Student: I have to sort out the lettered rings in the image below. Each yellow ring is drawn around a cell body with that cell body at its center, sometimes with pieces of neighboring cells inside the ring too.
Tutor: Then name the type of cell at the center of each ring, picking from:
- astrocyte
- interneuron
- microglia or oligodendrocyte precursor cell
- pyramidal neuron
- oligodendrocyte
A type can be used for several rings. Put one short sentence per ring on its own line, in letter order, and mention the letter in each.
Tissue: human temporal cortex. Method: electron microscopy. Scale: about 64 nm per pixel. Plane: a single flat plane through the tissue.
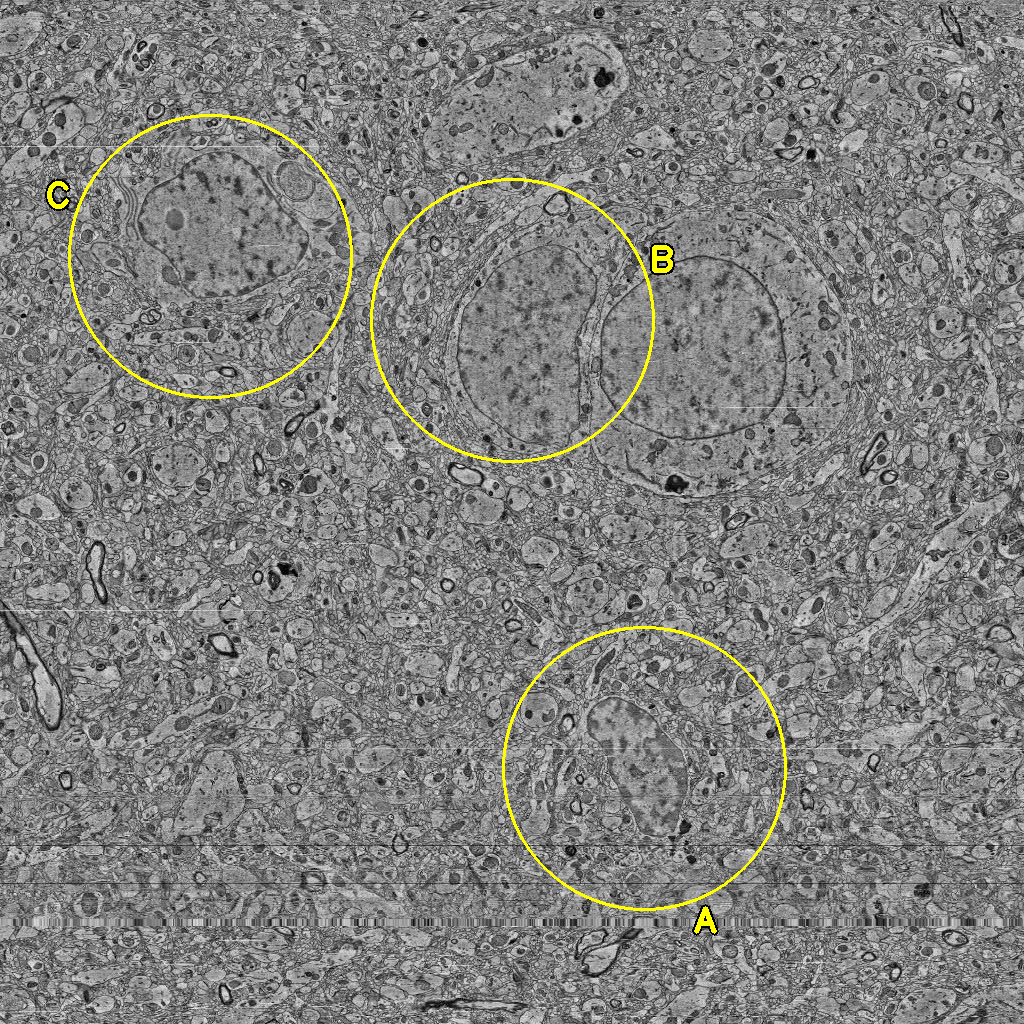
Inside ring A, at its center, is a microglial cell or oligodendrocyte precursor cell.
Inside ring B, at its center, is a pyramidal neuron.
Inside ring C, at its center, is an astrocyte.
